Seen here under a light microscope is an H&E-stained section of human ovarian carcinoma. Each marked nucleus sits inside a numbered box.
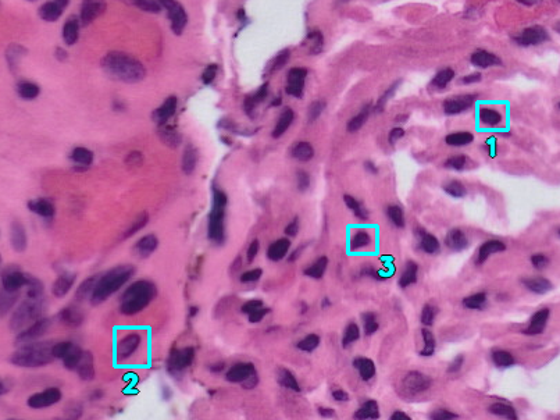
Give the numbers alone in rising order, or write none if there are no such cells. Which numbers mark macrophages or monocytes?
none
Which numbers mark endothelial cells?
2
